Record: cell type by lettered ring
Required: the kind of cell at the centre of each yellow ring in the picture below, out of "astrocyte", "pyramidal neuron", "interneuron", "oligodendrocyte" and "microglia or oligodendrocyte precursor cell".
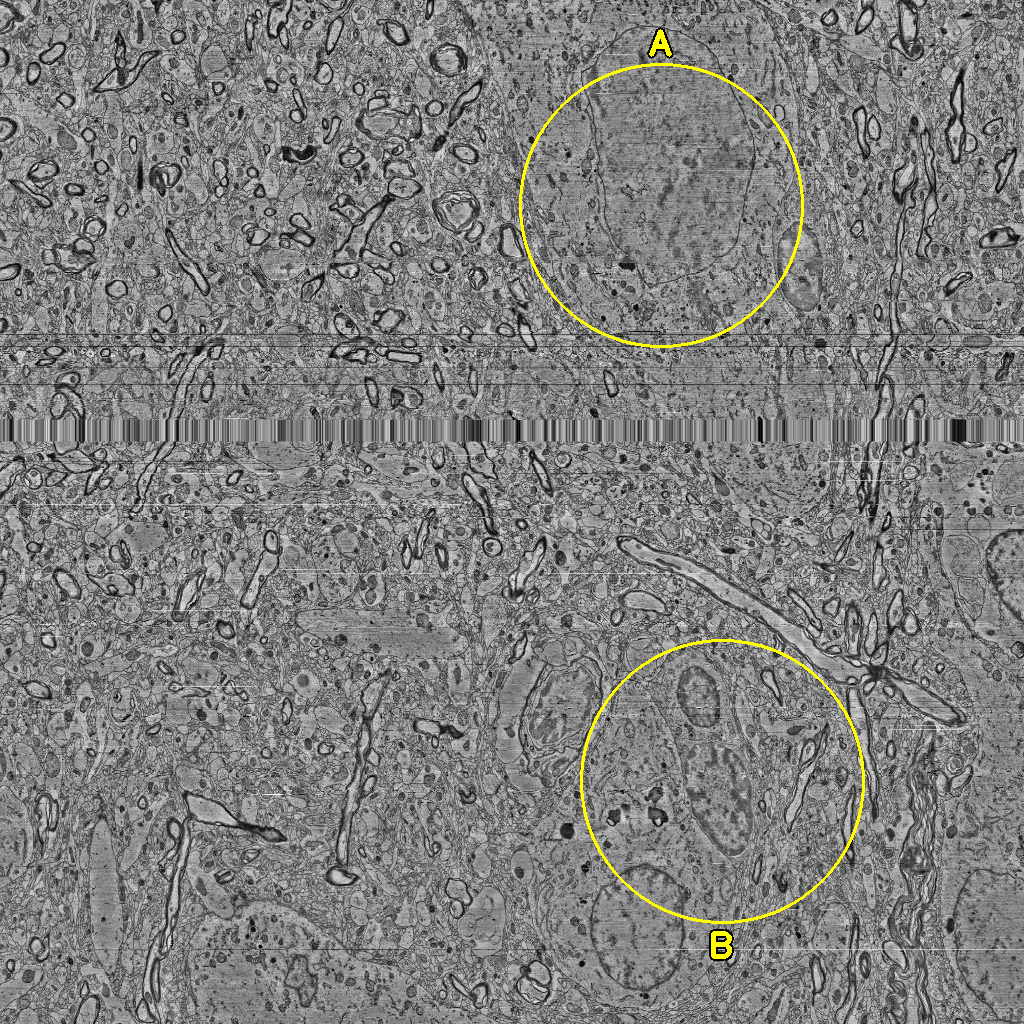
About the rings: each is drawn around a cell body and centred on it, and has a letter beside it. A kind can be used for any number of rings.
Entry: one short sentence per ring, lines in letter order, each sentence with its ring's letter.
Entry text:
At ring A we have a pyramidal neuron.
At ring B we have an oligodendrocyte.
